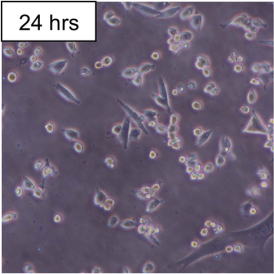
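Most cells are small, spherical and phase-bright, lying singly or in small groups. A minority still adhere as elongated, spindle-shaped or branched cells with processes, scattered among the rounded ones.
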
